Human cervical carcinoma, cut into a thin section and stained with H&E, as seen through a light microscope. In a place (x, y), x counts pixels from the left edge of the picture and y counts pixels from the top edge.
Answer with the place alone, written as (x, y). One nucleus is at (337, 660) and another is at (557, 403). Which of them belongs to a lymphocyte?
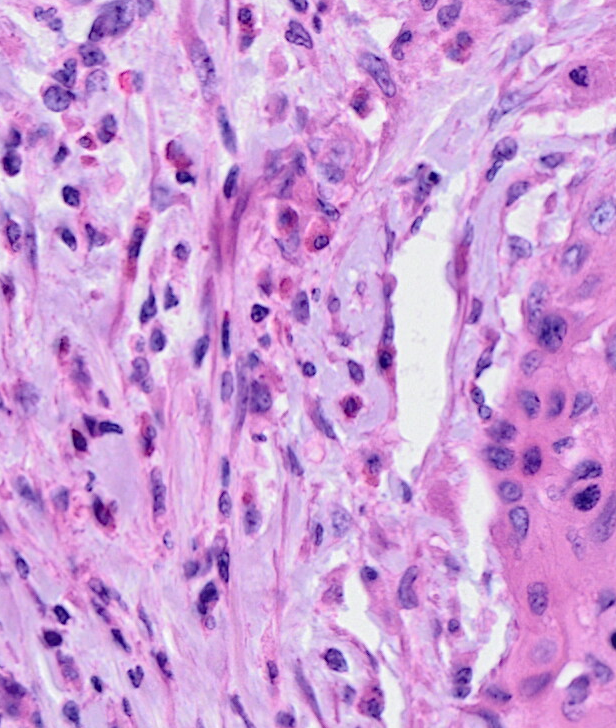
(337, 660)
